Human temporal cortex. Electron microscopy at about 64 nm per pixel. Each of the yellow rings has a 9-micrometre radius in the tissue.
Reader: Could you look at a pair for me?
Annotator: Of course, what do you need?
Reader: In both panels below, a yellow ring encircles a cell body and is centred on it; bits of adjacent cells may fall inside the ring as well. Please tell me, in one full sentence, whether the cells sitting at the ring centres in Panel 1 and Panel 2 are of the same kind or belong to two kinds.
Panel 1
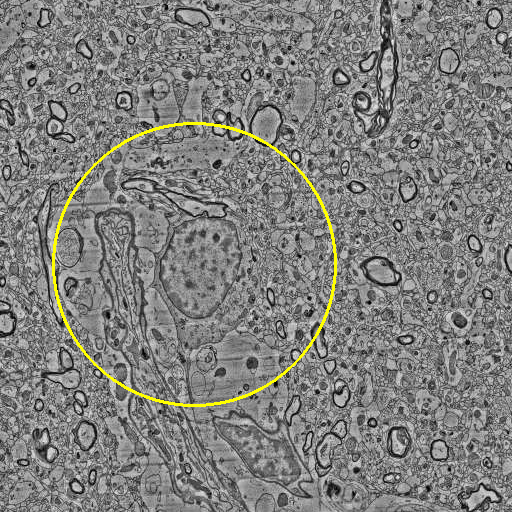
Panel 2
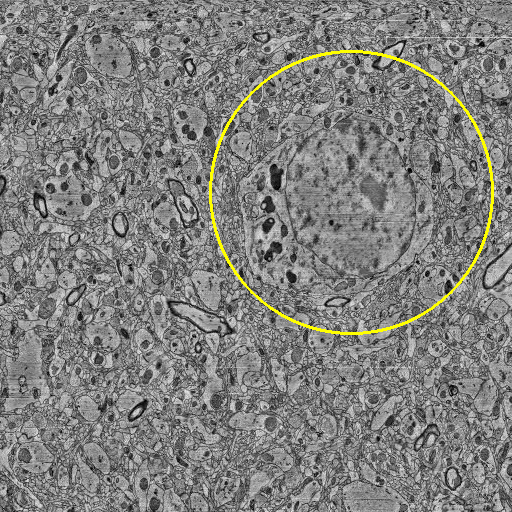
The cell at the ring's centre in Panel 1 and the one in Panel 2 belong to two kinds.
